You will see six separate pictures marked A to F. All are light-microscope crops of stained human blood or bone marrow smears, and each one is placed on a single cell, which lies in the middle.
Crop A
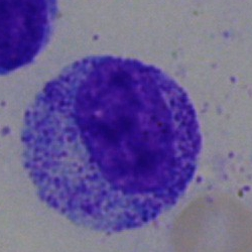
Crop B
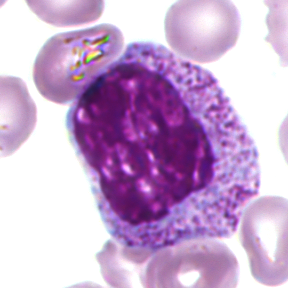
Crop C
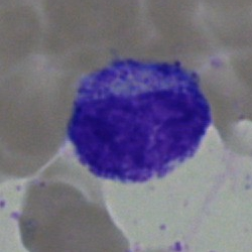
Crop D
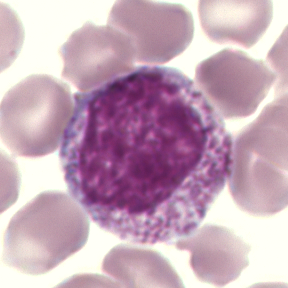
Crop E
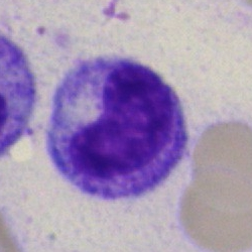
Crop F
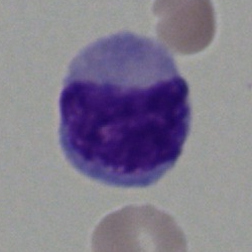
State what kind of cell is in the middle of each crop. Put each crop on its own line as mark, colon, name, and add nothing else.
A: myelocyte
B: myelocyte
C: myelocyte
D: myelocyte
E: metamyelocyte
F: metamyelocyte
